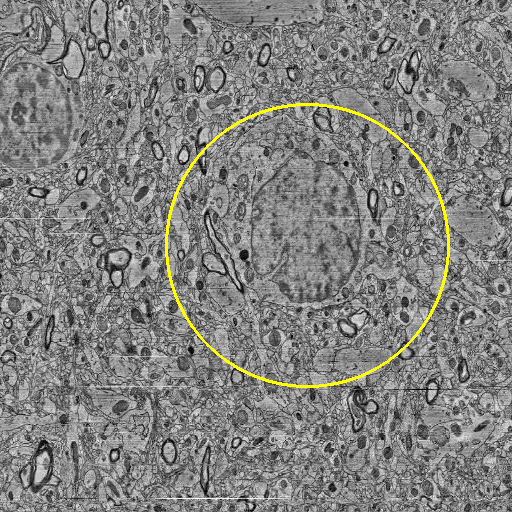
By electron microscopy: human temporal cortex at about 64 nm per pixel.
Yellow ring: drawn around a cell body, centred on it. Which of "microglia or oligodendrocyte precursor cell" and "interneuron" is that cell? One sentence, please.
That cell body is from an interneuron.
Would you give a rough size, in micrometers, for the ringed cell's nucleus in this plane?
About 10 micrometres by about 7 micrometres in this plane.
